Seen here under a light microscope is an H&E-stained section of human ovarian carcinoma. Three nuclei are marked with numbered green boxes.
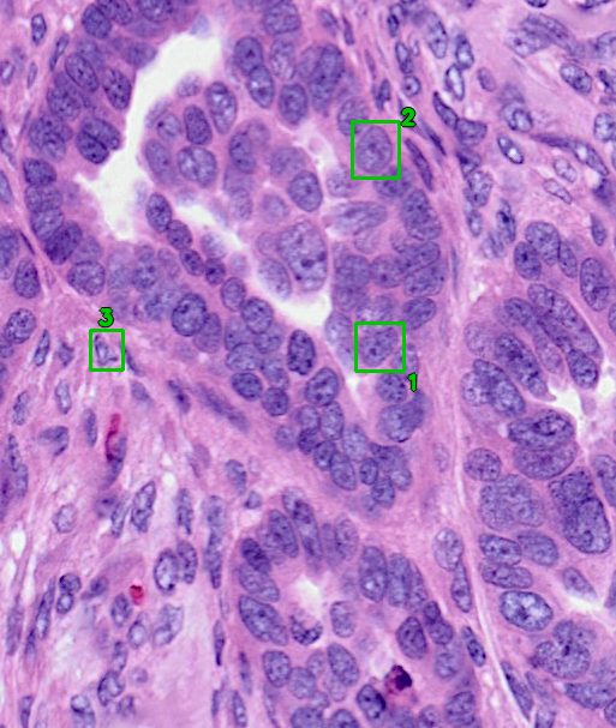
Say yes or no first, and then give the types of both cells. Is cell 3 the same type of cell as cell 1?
No, cell 3 is recognized as a fibroblast, and cell 1 as a carcinoma cell.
